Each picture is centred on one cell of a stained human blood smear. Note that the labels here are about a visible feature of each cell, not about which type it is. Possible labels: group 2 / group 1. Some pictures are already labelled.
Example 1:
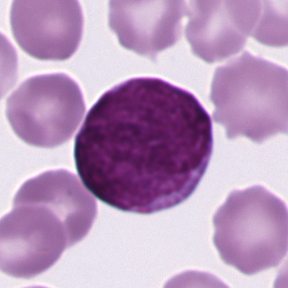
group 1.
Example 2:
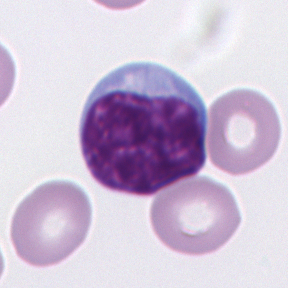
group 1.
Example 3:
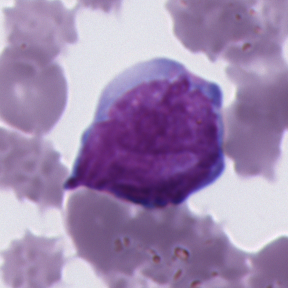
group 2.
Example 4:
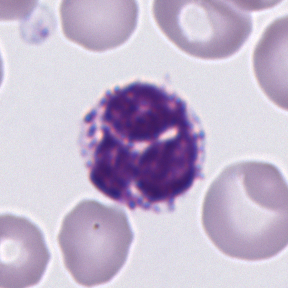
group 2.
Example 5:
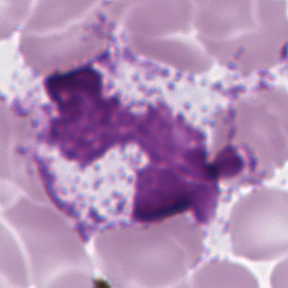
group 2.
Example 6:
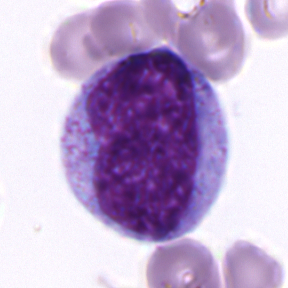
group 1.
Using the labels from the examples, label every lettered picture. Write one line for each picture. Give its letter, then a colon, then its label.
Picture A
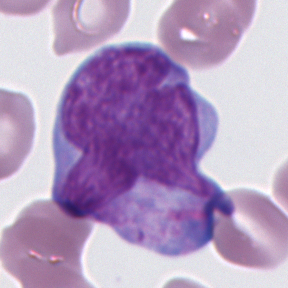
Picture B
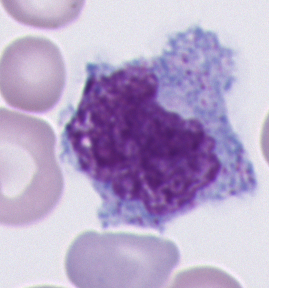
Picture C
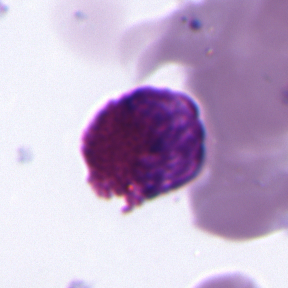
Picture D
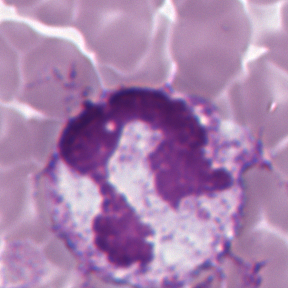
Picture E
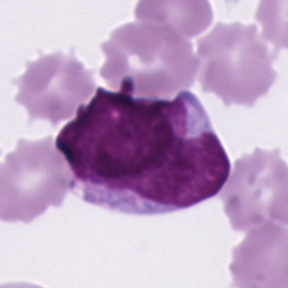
A: group 2.
B: group 2.
C: group 2.
D: group 2.
E: group 2.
